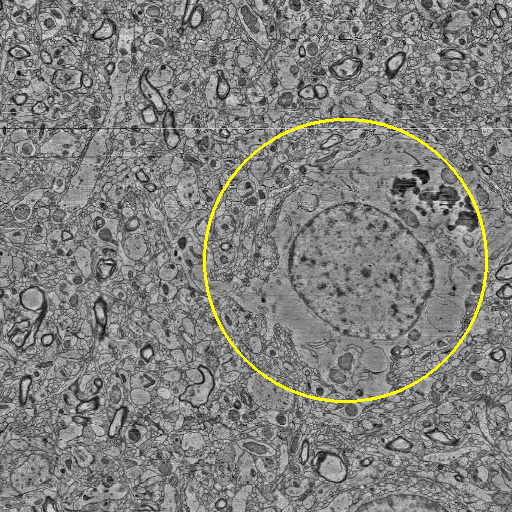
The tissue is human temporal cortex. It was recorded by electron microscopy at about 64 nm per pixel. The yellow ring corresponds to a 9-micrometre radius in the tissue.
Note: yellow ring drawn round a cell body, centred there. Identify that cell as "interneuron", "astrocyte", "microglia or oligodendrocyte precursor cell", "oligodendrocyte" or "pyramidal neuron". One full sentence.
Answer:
The cell in the middle of the ring is an astrocyte.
